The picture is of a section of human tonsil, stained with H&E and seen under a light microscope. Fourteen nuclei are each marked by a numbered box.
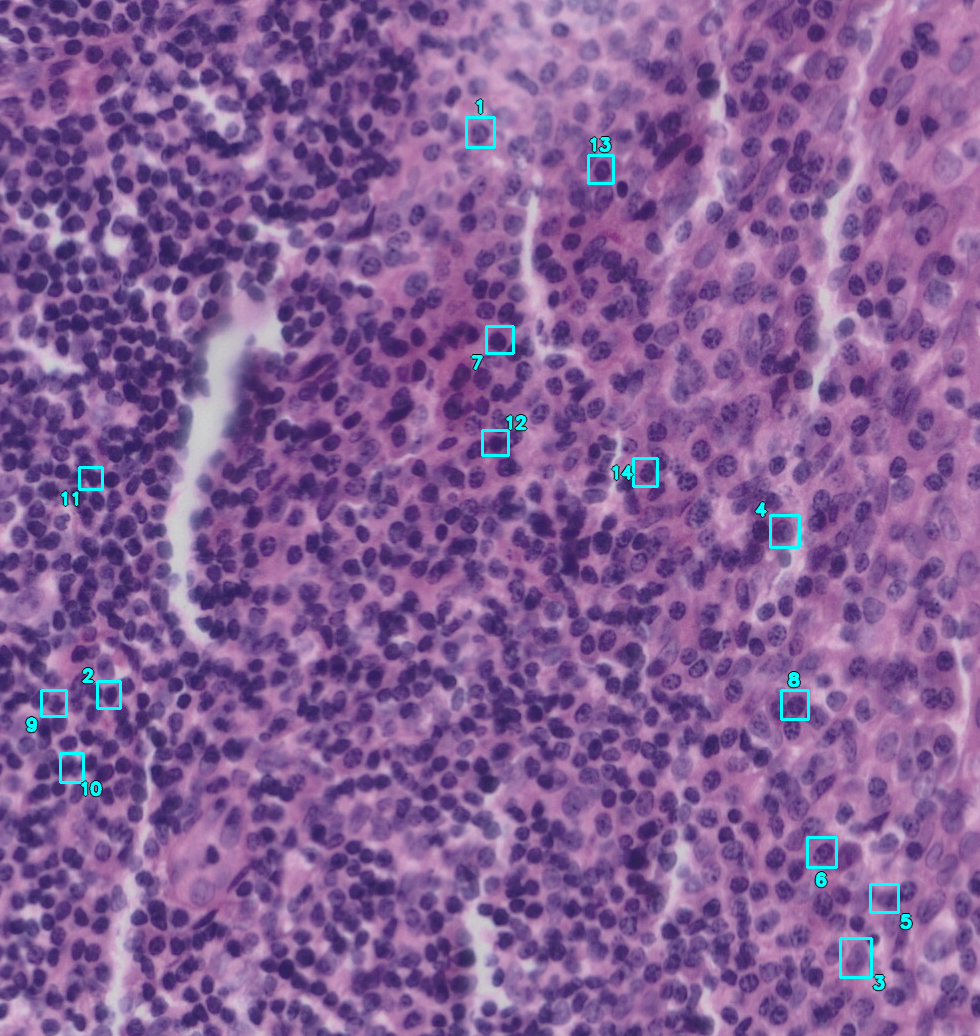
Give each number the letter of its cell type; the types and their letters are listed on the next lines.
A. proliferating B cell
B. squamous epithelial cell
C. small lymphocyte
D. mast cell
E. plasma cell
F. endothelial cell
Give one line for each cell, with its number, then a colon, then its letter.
1: E
2: C
3: B
4: E
5: B
6: E
7: E
8: E
9: C
10: C
11: C
12: E
13: E
14: E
